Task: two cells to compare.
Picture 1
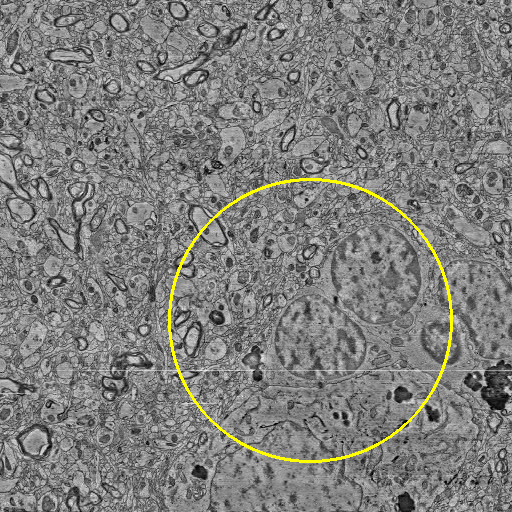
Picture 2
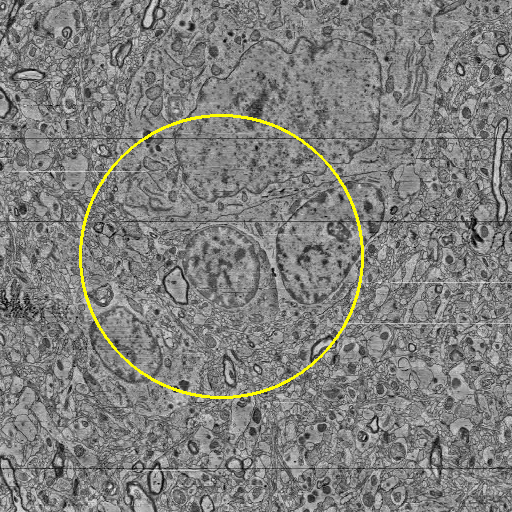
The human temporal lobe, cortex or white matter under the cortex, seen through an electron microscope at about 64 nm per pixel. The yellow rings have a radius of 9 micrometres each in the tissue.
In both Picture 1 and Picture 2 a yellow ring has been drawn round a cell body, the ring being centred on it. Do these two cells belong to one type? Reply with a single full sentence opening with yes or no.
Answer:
Yes, the two cells at the ring centres in Picture 1 and Picture 2 share one type.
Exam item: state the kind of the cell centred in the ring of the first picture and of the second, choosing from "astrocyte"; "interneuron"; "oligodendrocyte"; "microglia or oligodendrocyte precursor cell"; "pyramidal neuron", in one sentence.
The first and the second cell are each an oligodendrocyte.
